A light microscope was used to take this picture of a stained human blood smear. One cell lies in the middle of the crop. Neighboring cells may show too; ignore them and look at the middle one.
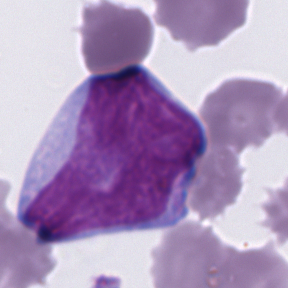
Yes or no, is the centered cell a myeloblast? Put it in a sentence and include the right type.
Yes, this crop has a myeloblast at its centre.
